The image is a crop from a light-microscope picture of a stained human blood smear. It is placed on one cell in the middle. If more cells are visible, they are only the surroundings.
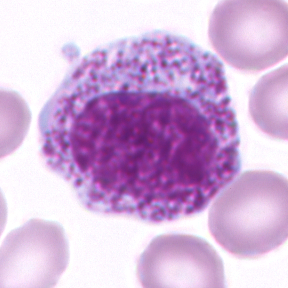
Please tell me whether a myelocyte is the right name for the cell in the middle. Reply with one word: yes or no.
yes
